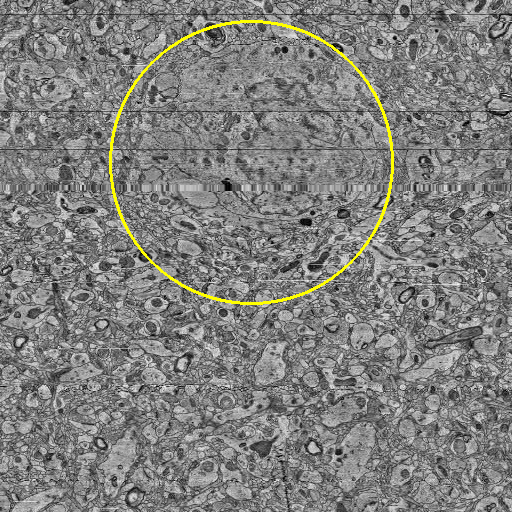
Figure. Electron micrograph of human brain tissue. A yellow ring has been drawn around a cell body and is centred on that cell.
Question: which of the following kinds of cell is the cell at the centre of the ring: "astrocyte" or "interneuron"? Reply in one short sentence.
The cell at the centre of the ring is an interneuron.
